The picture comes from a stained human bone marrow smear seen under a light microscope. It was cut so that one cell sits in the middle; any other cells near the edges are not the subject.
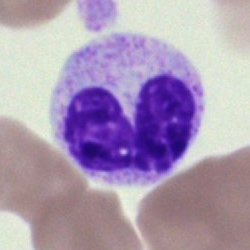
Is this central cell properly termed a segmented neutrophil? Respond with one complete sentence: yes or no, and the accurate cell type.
No, it is not a segmented neutrophil that lies in the middle but a band neutrophil.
